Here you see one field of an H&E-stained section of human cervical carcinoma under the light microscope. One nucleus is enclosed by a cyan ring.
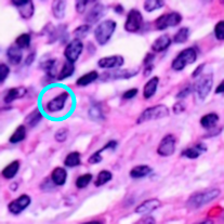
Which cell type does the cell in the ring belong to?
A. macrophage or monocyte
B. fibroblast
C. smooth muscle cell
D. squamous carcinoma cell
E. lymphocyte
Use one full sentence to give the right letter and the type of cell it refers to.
Answer with option E; the cell in the ring is a lymphocyte.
